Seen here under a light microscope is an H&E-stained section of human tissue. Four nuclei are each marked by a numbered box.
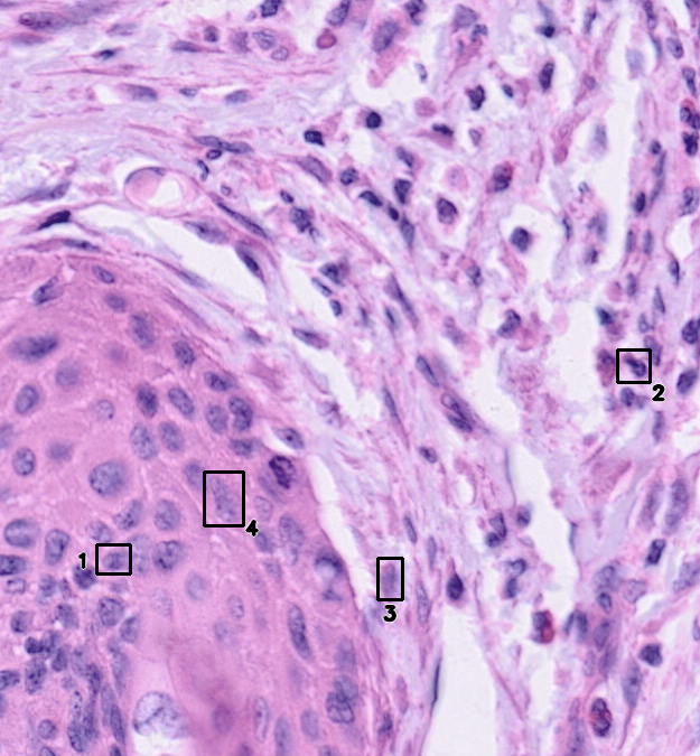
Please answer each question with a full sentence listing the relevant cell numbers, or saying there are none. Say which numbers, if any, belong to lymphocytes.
None but cell 2 among the numbered cells is a lymphocyte.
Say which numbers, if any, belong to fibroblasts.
Among the marked cells, cell number 3 alone is a fibroblast.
